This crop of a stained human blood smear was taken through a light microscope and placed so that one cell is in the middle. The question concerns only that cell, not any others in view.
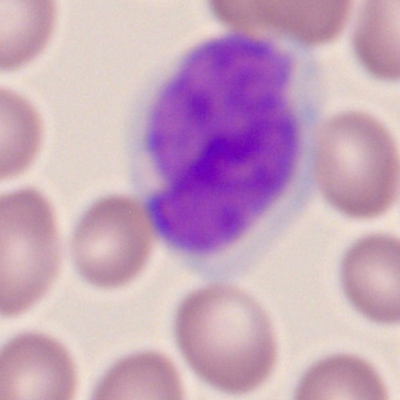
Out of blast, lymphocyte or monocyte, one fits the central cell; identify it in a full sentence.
For this crop, the cell in the middle is a monocyte.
